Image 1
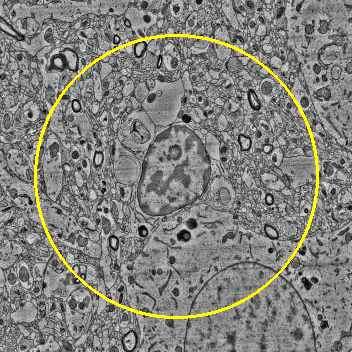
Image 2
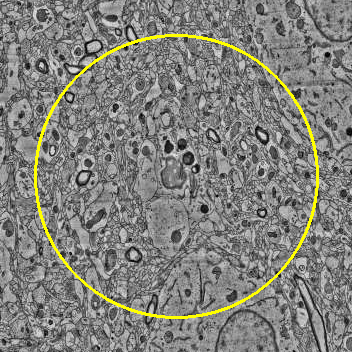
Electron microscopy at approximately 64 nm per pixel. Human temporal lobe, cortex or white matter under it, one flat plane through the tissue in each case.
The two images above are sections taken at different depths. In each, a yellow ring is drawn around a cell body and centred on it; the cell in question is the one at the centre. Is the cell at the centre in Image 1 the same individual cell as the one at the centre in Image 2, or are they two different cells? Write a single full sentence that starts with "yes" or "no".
Yes, the marked cell is the same in both rings.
